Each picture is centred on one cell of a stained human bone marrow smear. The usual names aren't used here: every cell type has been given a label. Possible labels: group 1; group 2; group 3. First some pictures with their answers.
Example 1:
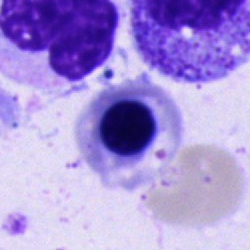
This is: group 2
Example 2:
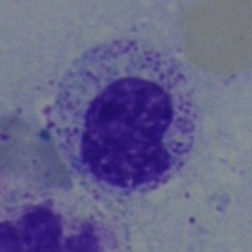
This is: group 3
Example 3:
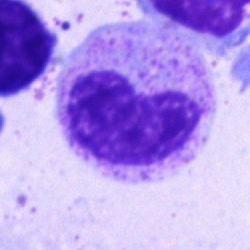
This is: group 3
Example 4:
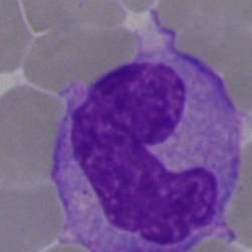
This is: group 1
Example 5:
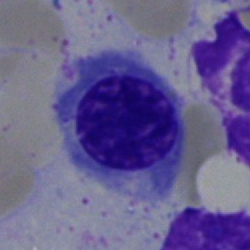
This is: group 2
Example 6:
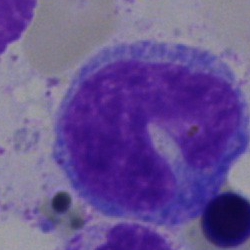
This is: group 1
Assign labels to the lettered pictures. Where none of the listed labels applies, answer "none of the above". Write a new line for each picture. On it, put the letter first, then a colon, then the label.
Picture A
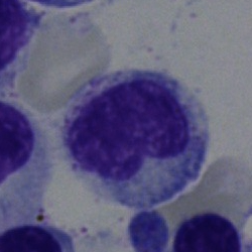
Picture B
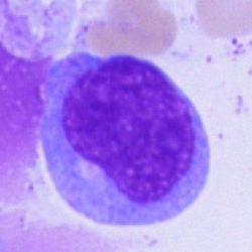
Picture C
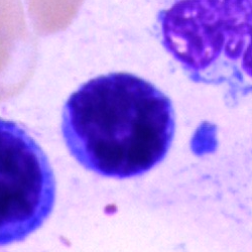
A: group 3
B: group 1
C: none of the above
